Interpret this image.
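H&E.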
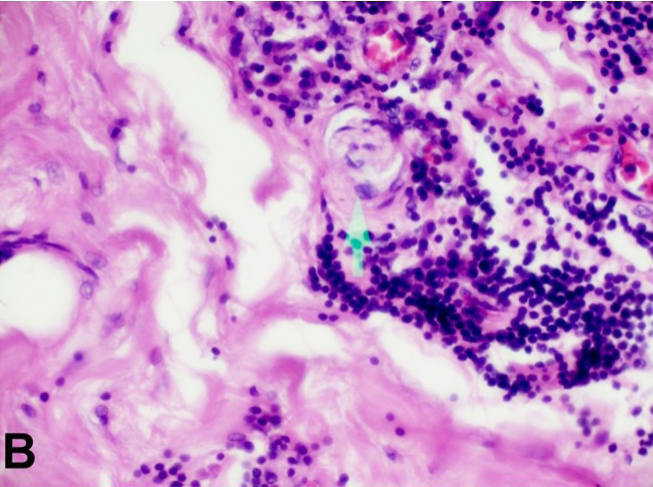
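A small vessel with a thickened, concentrically layered pale pink wall and an almost obliterated lumen lies within a dense cluster of inflammatory cells. The surrounding cells are mostly small, round, with dark compact nuclei and scant cytoplasm, packed closely together. Nearby small vessels contain red blood cells. To the left, wavy pale pink collagenous connective tissue with scattered elongated nuclei and clefts is seen.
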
